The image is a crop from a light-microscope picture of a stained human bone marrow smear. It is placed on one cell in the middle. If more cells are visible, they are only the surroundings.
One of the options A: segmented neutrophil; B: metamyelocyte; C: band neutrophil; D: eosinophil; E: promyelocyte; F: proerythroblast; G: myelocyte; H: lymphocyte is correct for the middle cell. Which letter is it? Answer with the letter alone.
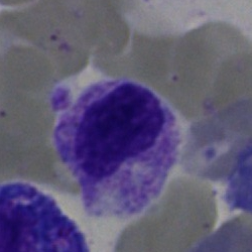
G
